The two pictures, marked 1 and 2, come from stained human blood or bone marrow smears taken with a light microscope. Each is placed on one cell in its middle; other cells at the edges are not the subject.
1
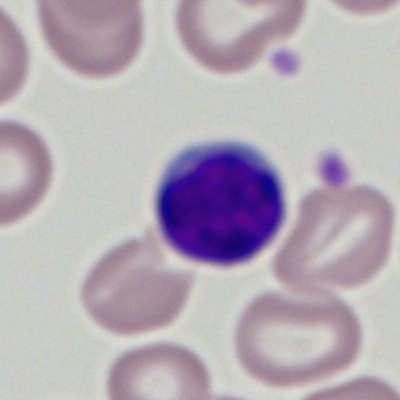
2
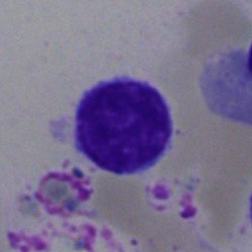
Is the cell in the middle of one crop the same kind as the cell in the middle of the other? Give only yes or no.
yes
